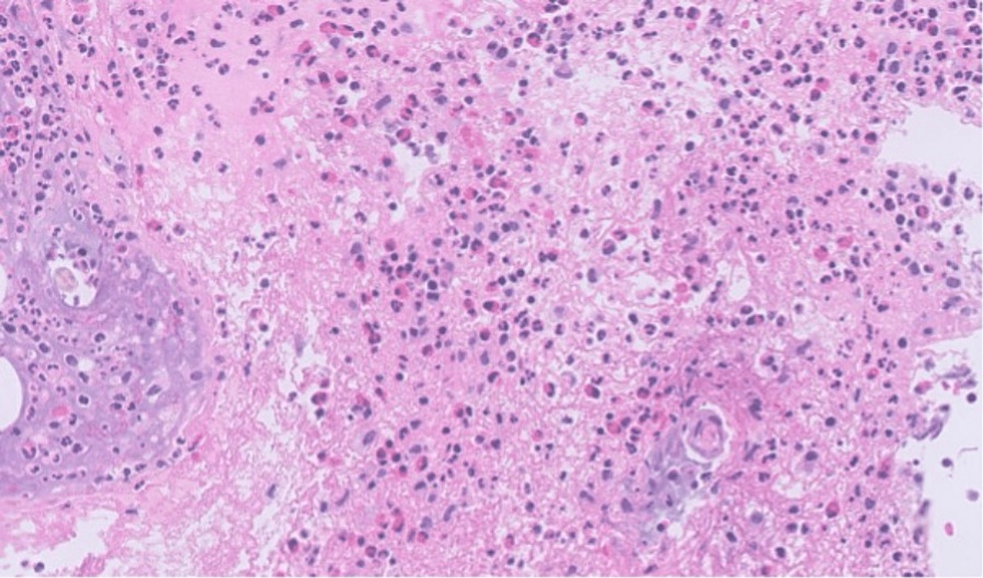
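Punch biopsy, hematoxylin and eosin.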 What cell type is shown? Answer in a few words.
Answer: eosinophils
